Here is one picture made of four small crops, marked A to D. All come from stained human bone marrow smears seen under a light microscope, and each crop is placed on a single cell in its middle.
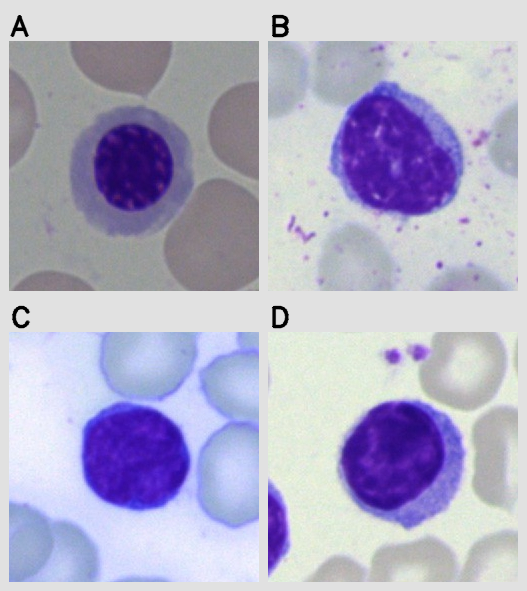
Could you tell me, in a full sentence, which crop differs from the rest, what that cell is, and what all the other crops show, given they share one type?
The exception in this group is crop A, an erythroblast, and the others are all lymphocytes.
